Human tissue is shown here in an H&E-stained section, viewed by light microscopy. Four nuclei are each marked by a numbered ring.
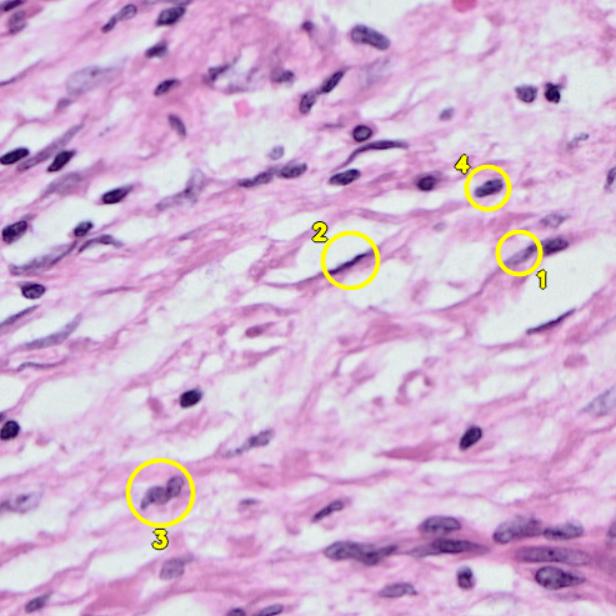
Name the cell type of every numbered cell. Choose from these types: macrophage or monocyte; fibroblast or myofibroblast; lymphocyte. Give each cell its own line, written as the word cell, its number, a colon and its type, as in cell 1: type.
cell 1: fibroblast or myofibroblast
cell 2: fibroblast or myofibroblast
cell 3: macrophage or monocyte
cell 4: lymphocyte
